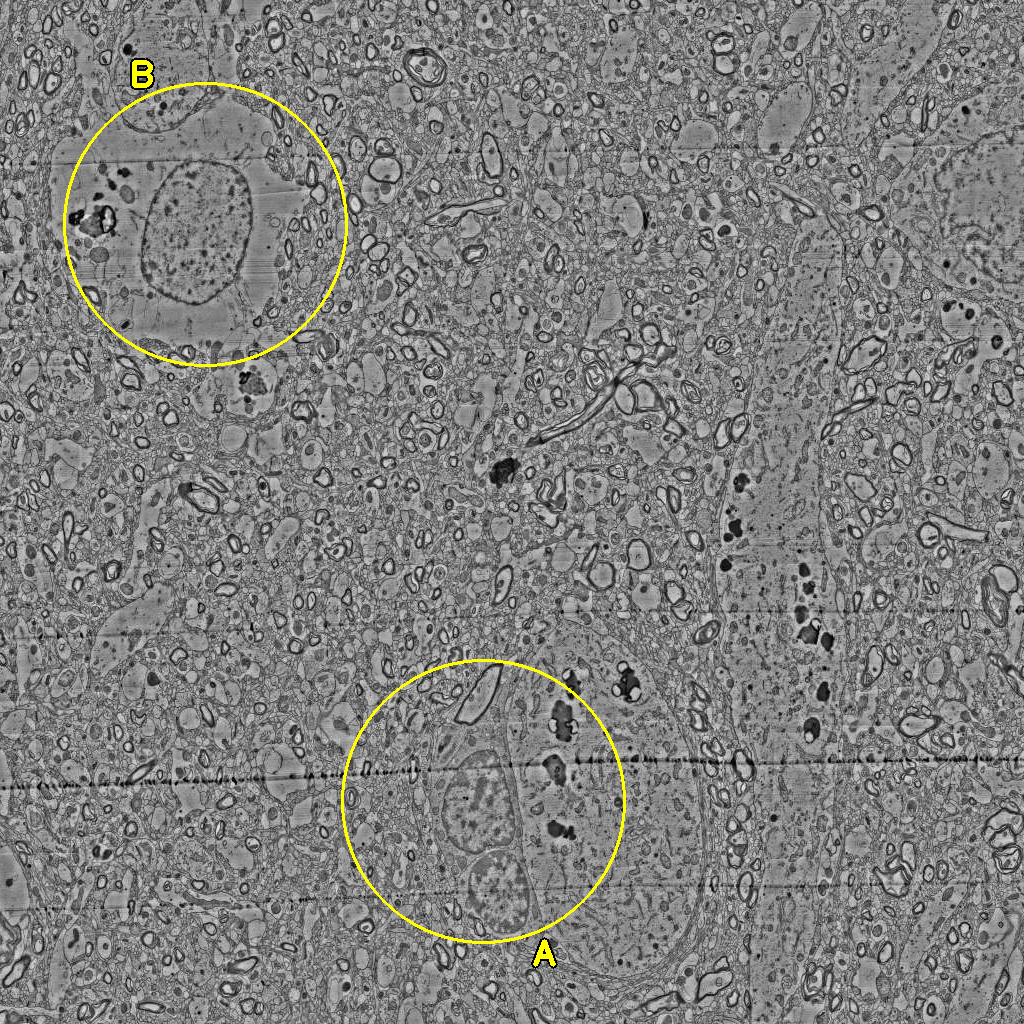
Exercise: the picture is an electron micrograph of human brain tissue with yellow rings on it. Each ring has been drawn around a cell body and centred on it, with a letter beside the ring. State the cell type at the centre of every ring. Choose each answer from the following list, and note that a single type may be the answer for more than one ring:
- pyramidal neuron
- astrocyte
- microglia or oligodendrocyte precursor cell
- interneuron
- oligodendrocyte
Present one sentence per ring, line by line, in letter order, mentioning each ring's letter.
Ring A shows an oligodendrocyte at its centre.
Ring B shows an astrocyte at its centre.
